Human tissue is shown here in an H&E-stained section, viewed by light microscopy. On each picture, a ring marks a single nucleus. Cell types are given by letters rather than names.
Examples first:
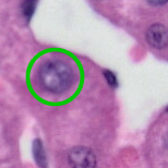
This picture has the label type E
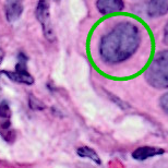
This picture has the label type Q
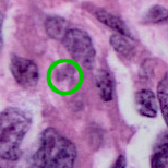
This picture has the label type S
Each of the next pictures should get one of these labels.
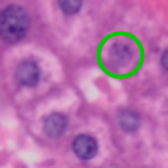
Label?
type E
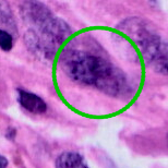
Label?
type S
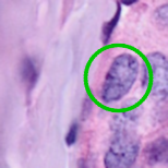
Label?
type Q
